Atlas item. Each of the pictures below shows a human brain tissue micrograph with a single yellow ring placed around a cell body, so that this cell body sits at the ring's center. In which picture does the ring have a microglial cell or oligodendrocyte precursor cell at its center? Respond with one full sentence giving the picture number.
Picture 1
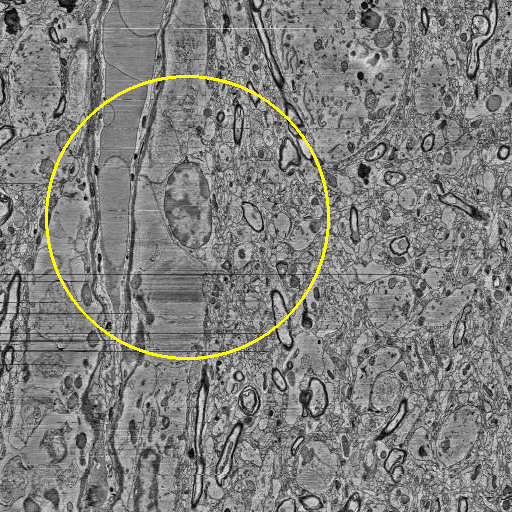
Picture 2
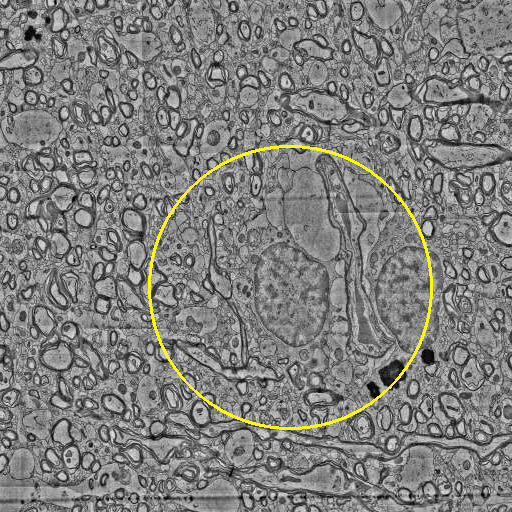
The cell at the ring's center that fits lies in picture 1.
